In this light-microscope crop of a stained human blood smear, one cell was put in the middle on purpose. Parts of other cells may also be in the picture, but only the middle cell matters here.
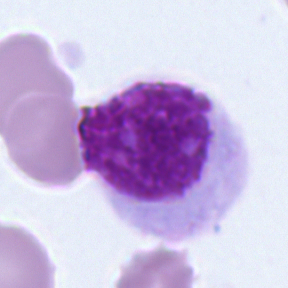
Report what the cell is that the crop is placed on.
plasma cell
